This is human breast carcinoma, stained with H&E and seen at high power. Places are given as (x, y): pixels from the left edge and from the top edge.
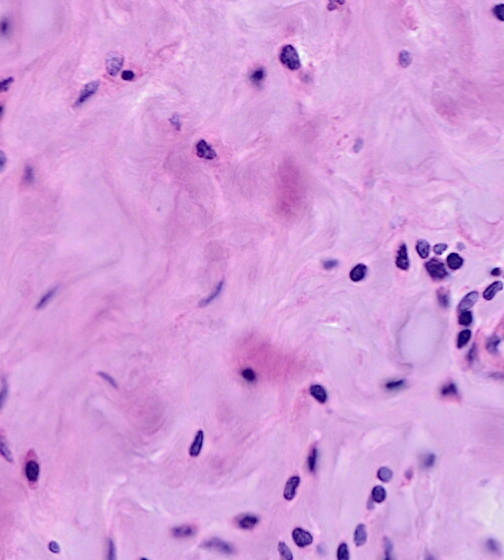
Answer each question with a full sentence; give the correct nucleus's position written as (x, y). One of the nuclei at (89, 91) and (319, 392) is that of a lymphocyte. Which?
The nucleus at (319, 392) is the member of the pair belonging to a lymphocyte.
